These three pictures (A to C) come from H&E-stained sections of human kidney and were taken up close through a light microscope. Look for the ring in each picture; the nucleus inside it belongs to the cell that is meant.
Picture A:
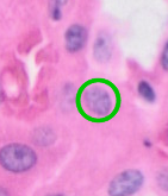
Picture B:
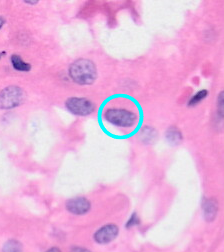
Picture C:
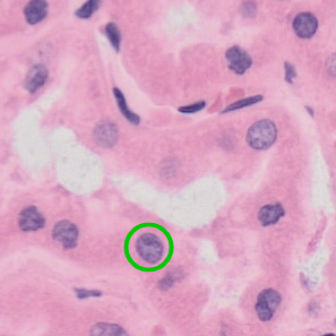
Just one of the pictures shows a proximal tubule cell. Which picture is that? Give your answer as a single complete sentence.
The picture with the proximal tubule cell is C.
